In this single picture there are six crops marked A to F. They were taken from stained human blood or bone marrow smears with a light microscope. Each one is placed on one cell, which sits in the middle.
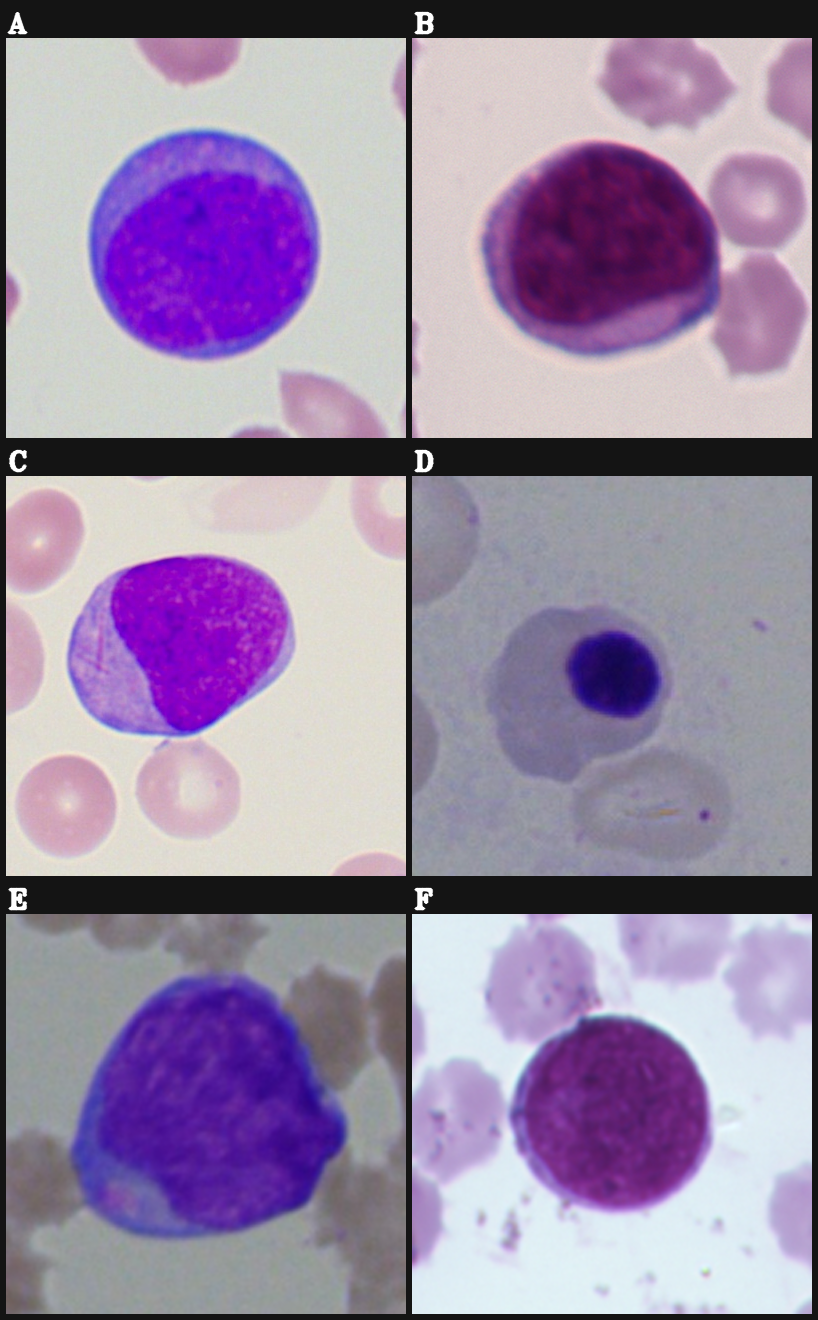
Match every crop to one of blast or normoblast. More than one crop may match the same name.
A: blast
B: blast
C: blast
D: normoblast
E: blast
F: blast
